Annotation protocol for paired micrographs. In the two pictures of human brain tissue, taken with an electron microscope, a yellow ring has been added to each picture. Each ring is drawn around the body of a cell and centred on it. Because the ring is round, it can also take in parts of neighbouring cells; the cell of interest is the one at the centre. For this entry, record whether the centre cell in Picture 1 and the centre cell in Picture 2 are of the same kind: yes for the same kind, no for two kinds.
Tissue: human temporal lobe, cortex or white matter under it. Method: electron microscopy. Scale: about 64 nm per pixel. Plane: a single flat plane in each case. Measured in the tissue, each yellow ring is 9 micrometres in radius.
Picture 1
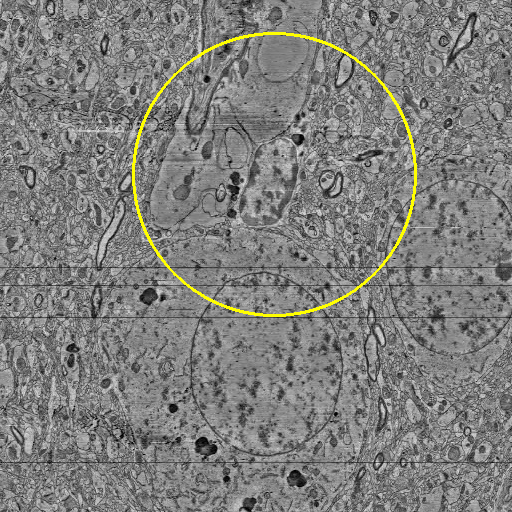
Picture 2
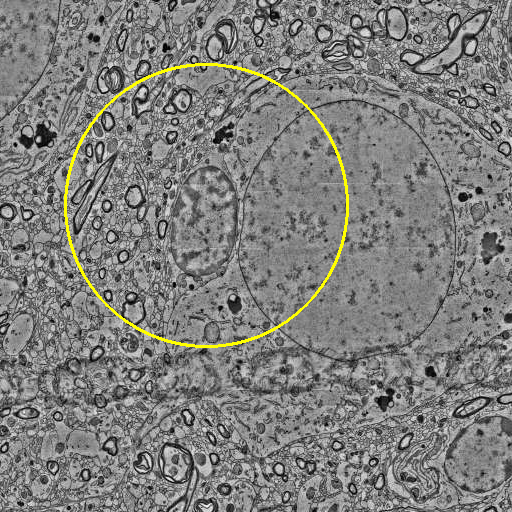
no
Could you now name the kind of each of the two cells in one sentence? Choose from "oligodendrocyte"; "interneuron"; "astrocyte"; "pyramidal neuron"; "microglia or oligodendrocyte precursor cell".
The first ring encloses a microglial cell or oligodendrocyte precursor cell; the second ring encloses an oligodendrocyte.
